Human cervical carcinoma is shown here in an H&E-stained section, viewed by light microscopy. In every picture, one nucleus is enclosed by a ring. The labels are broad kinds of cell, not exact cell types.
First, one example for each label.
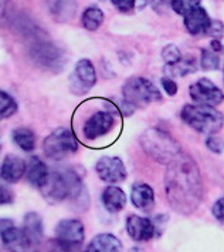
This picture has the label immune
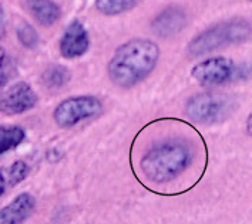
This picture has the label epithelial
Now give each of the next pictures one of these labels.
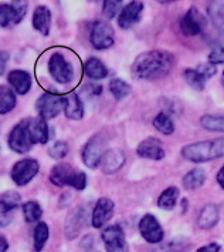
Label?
immune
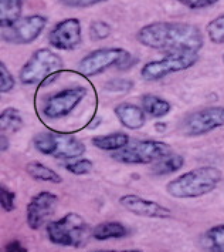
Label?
epithelial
